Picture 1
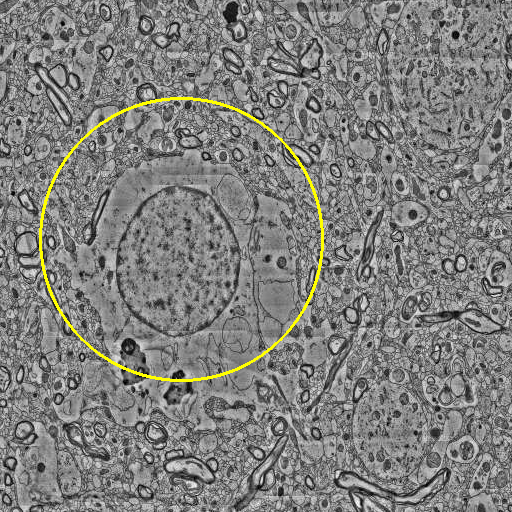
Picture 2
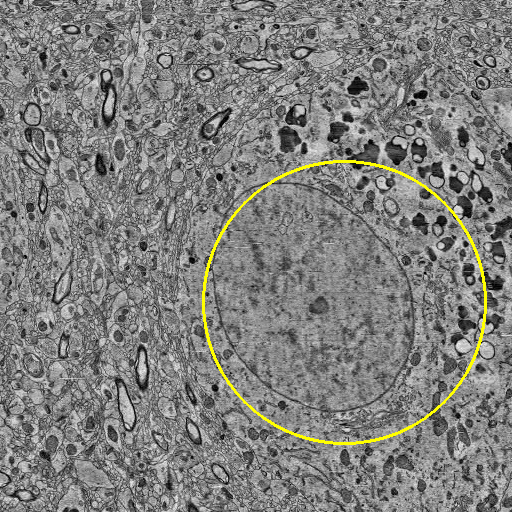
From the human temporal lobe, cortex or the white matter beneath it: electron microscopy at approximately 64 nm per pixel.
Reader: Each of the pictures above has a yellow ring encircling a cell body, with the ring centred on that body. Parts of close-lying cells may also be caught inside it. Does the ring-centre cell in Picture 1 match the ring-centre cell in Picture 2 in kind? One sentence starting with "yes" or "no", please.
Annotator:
No, Picture 1 and Picture 2 show ring-centre cells of two kinds.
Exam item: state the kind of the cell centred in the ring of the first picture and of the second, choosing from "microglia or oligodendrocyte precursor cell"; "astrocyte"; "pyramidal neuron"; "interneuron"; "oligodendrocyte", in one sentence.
The first picture shows an astrocyte at the ring centre and the second shows a pyramidal neuron.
